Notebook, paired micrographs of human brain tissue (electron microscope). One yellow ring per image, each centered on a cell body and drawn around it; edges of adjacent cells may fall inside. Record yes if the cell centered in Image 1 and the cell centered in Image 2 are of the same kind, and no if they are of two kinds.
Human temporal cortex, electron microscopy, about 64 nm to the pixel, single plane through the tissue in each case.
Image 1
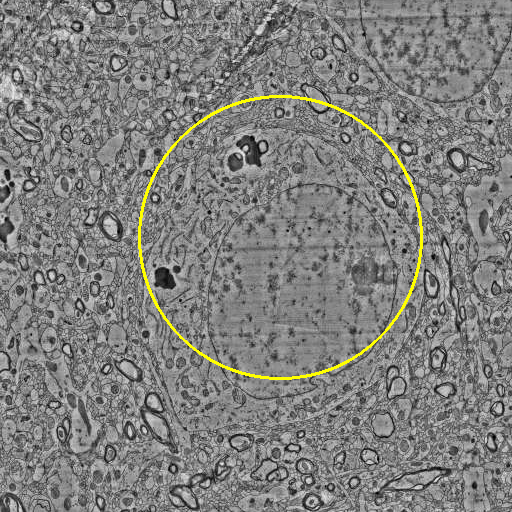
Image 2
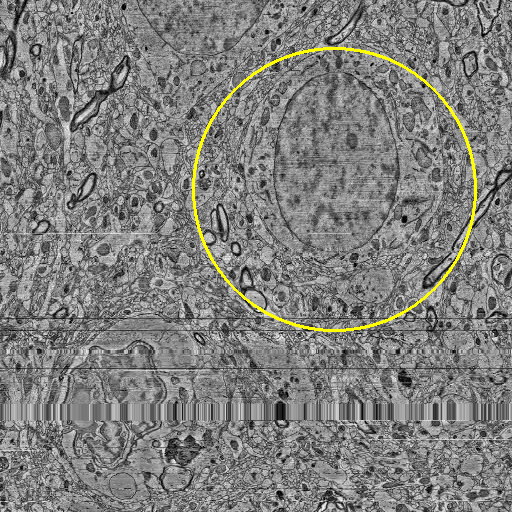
no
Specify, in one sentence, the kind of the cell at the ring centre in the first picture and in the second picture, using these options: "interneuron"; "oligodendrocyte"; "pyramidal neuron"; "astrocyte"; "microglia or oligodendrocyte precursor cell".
So the first is a pyramidal neuron, the second an interneuron.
